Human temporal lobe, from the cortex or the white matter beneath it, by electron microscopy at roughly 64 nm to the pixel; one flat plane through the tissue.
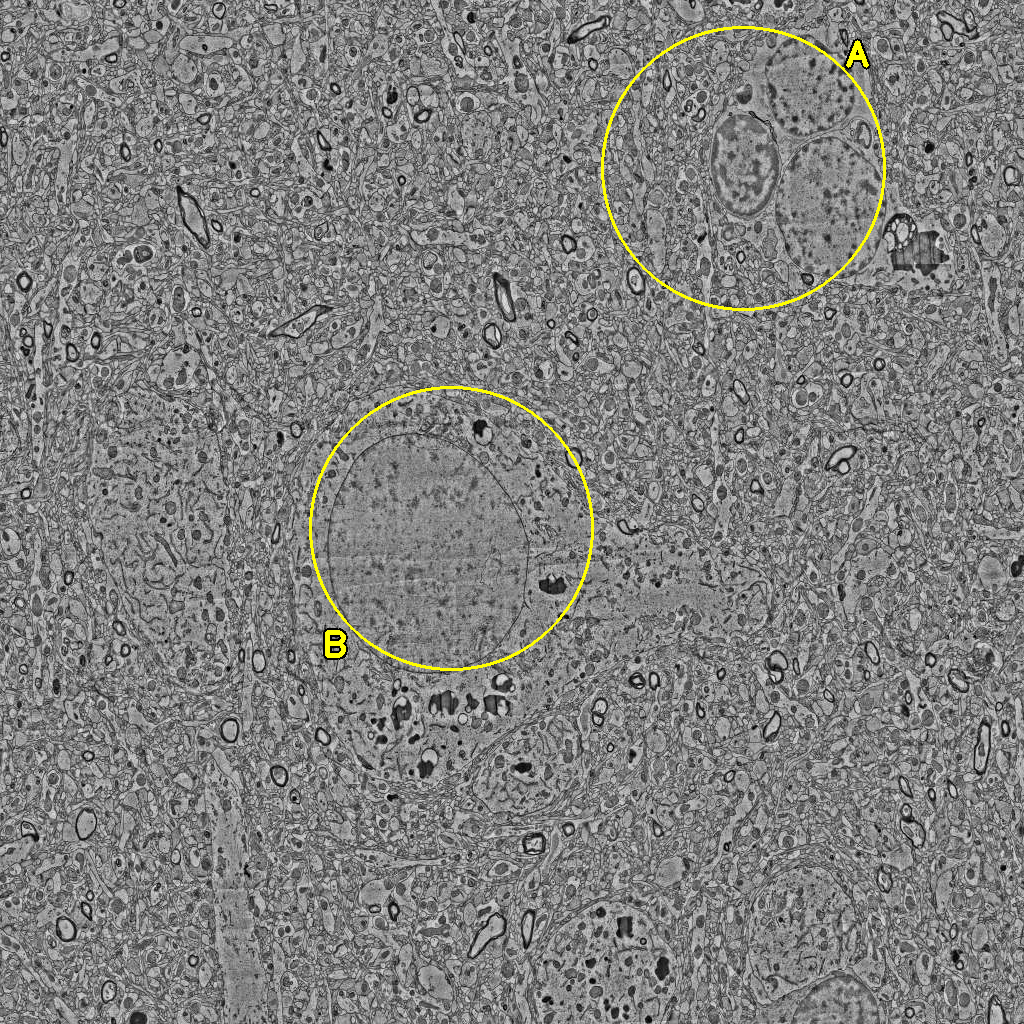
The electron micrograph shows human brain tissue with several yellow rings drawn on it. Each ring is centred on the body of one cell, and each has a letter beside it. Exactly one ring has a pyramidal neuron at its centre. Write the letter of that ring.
B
